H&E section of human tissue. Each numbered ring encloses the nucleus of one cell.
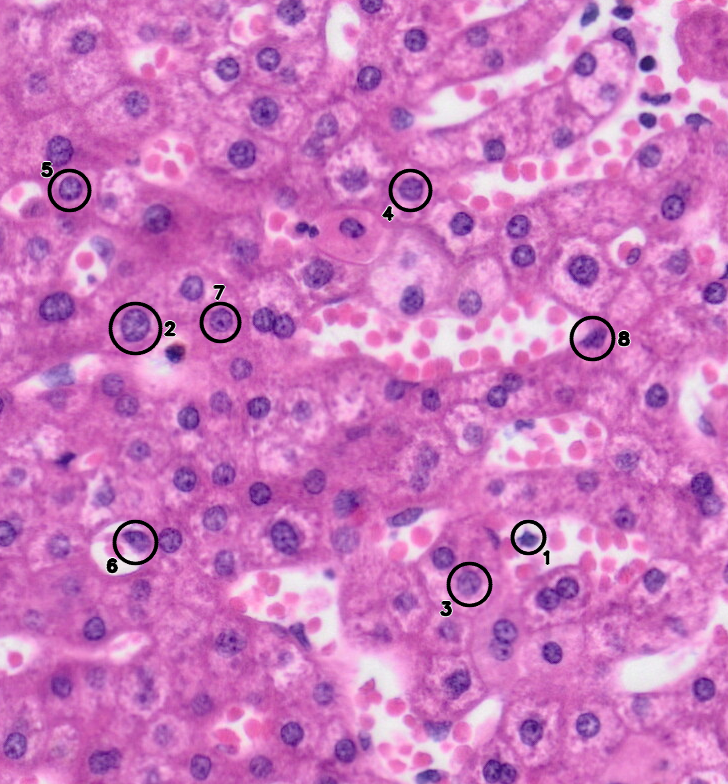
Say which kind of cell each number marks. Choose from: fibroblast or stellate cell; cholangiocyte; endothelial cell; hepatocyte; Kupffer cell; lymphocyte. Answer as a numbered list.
1. lymphocyte
2. hepatocyte
3. hepatocyte
4. hepatocyte
5. hepatocyte
6. Kupffer cell
7. hepatocyte
8. endothelial cell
